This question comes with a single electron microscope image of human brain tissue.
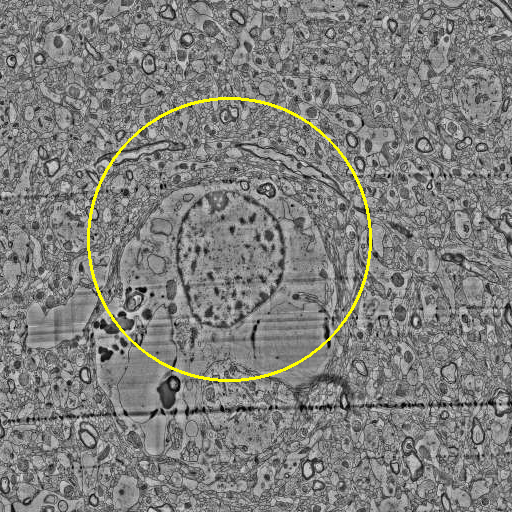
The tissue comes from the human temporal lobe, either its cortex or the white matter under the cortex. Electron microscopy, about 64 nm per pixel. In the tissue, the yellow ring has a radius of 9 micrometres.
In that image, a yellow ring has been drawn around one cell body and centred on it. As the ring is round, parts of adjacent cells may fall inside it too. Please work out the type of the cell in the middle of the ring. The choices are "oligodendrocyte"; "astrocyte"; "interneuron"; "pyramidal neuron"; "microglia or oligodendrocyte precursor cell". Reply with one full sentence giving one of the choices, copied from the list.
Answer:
Of the choices, an astrocyte is the cell sitting in the middle of the ring.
